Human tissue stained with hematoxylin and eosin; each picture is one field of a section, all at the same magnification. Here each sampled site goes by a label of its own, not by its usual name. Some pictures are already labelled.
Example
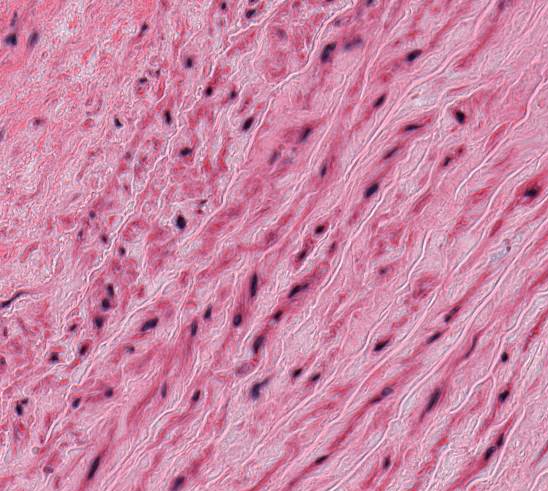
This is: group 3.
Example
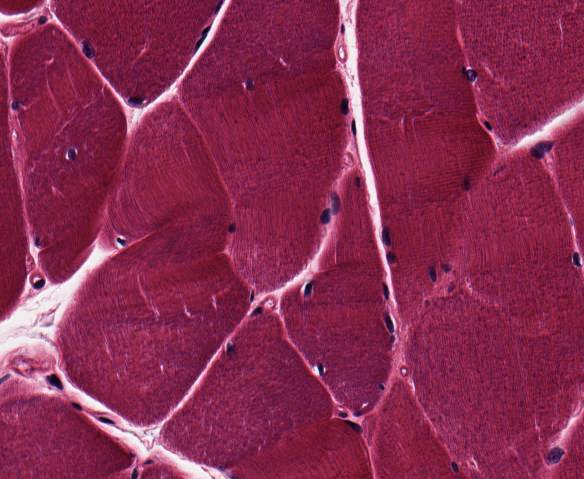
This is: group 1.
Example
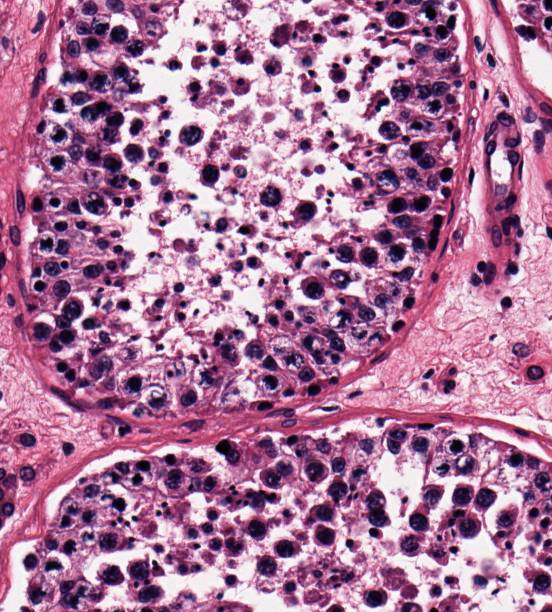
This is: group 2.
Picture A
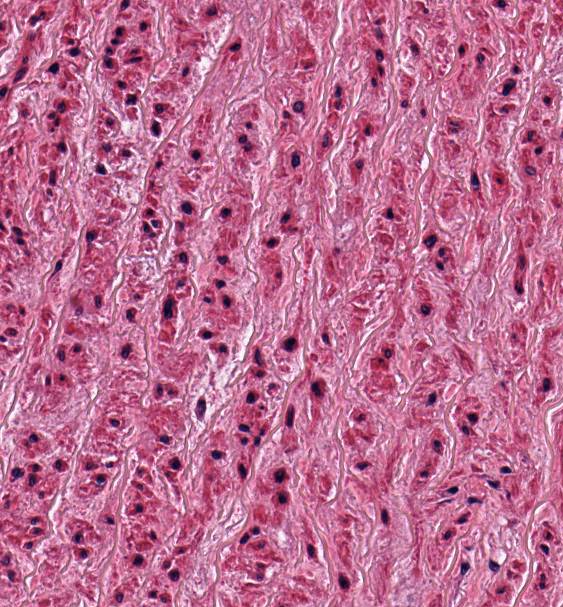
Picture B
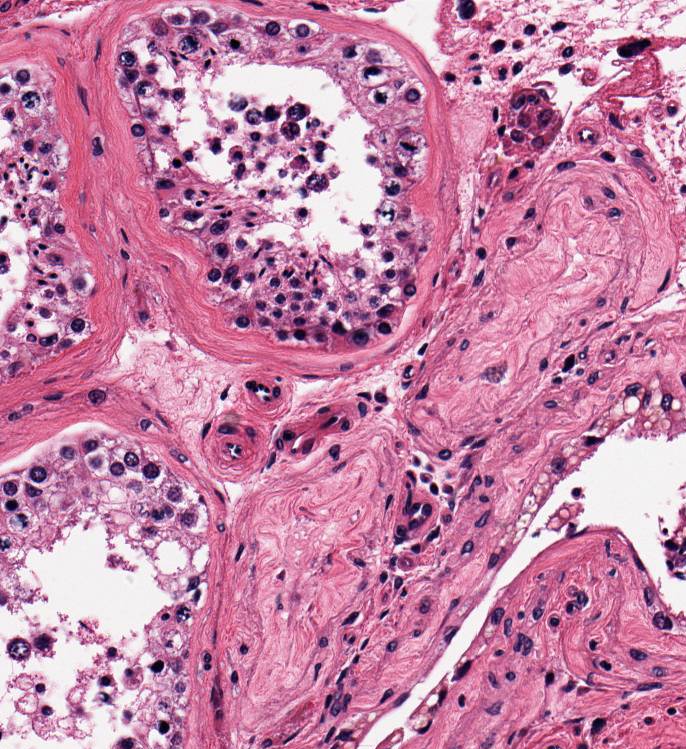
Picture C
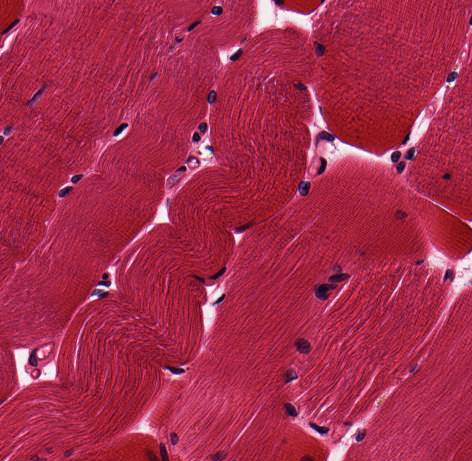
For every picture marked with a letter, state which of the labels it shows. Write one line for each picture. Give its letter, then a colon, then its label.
A: group 3.
B: group 2.
C: group 1.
